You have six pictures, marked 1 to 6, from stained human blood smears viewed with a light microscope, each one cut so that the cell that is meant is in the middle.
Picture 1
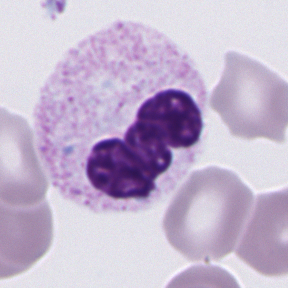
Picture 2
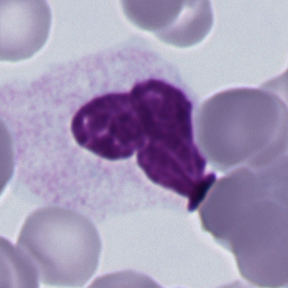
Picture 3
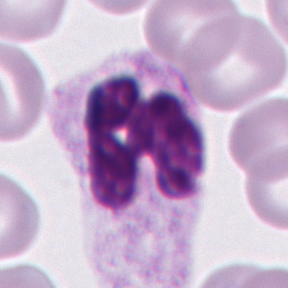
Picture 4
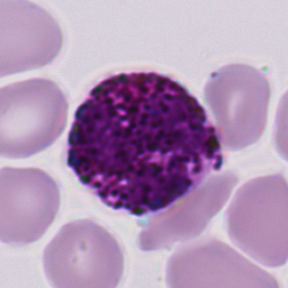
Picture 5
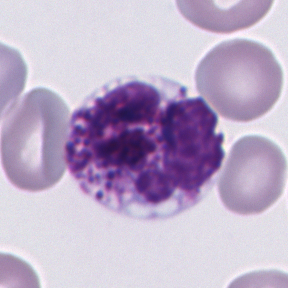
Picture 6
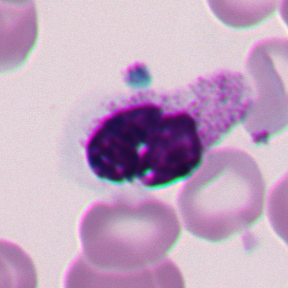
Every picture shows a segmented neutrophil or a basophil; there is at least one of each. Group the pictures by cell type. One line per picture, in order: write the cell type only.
segmented neutrophil
segmented neutrophil
segmented neutrophil
basophil
basophil
segmented neutrophil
